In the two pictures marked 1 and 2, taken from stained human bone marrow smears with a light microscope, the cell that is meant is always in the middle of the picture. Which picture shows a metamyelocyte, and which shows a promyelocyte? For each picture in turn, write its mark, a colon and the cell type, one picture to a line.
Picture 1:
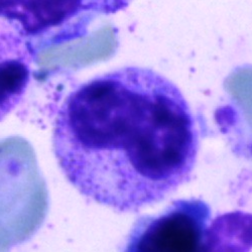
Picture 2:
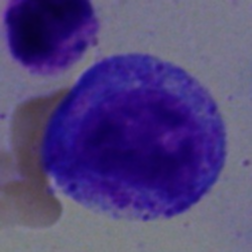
1: metamyelocyte
2: promyelocyte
